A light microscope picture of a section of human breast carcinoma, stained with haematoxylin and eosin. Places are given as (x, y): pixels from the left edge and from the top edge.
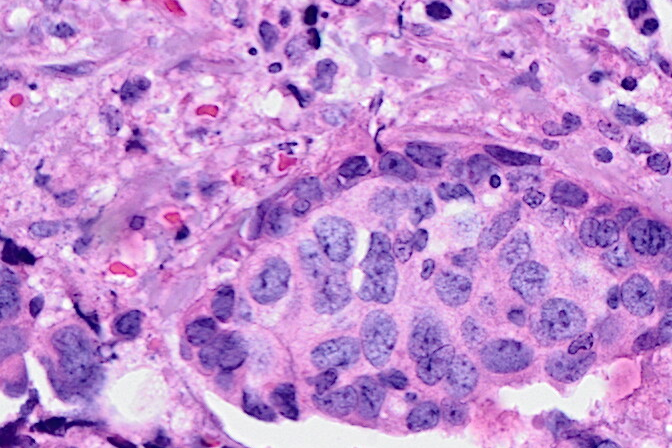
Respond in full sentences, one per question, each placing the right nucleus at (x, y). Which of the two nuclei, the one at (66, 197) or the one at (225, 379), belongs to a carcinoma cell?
The nucleus at (225, 379), rather than the other one, belongs to a carcinoma cell.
